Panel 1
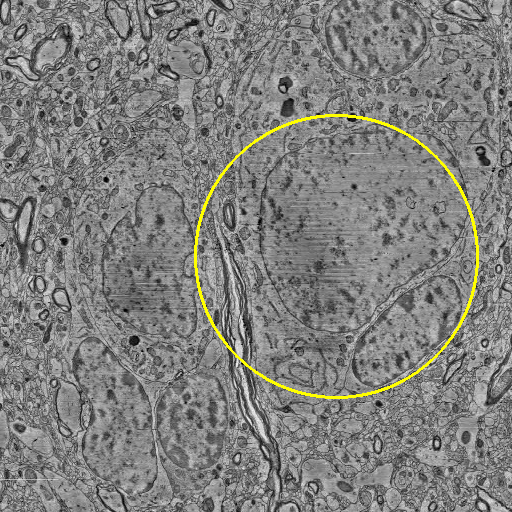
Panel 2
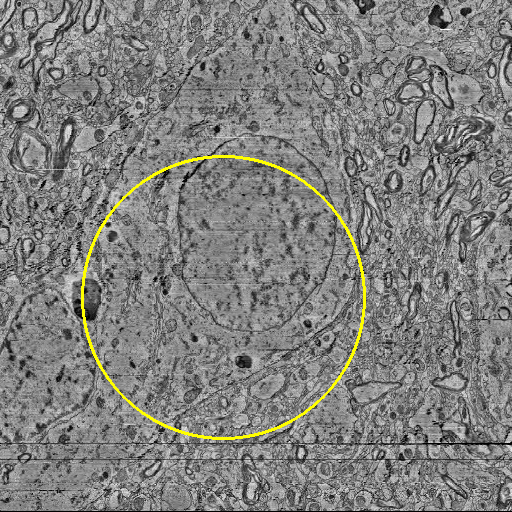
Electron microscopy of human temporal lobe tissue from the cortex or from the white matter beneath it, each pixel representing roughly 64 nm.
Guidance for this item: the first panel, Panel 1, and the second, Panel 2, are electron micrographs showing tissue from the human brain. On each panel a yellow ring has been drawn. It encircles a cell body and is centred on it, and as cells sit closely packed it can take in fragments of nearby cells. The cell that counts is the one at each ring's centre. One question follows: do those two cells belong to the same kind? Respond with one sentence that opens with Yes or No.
Yes, the cells at the ring centres in Panel 1 and Panel 2 are of one kind.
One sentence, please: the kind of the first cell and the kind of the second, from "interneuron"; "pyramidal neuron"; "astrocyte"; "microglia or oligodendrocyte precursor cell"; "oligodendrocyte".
Each of the two rings is centred on a pyramidal neuron.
